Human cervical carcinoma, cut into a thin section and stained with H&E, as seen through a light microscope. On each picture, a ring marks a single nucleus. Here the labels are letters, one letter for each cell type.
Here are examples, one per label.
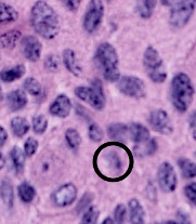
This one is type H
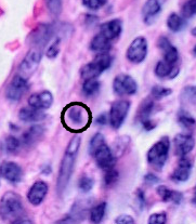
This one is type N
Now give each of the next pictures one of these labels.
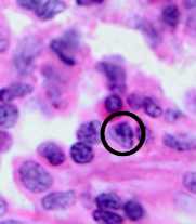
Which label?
type N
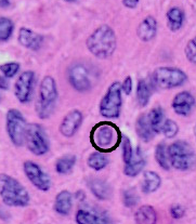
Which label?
type H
